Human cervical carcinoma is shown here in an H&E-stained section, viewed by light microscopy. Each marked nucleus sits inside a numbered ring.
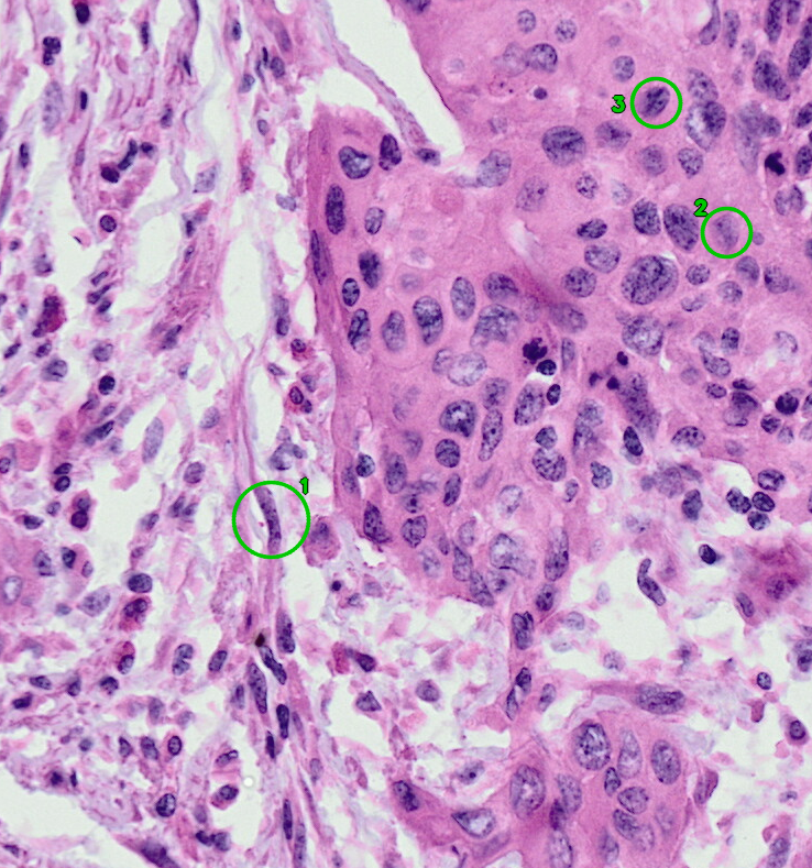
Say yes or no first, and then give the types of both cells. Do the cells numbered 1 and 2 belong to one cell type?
No, cell 1 is a fibroblast and cell 2 is a squamous carcinoma cell.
